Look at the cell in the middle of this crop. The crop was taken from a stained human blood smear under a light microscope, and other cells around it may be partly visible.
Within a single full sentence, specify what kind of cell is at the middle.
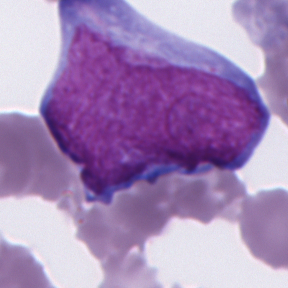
The single cell at the center of the crop is a blast.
